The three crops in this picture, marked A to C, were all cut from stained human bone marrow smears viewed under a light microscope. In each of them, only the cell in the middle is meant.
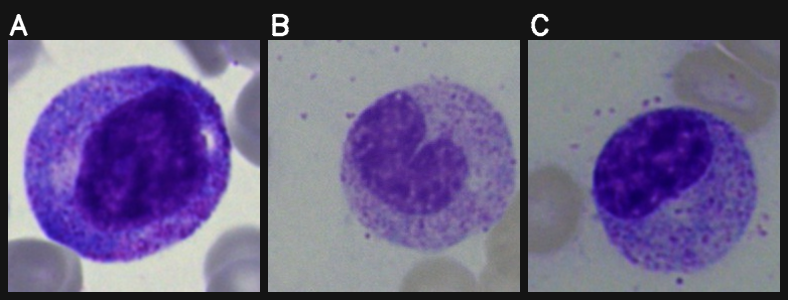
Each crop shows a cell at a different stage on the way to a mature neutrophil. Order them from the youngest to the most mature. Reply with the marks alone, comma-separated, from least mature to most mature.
A, C, B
